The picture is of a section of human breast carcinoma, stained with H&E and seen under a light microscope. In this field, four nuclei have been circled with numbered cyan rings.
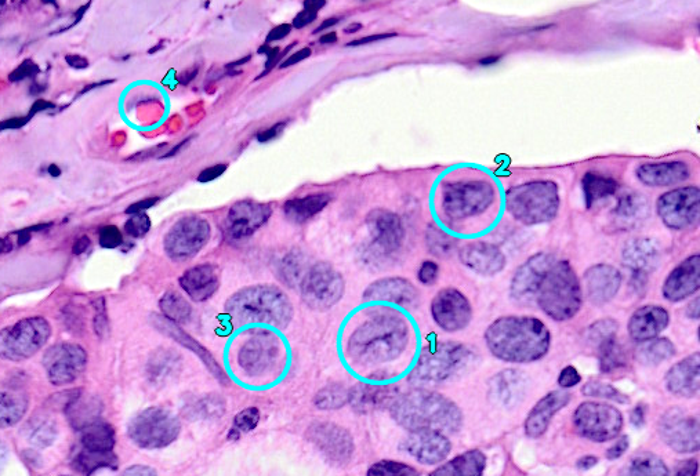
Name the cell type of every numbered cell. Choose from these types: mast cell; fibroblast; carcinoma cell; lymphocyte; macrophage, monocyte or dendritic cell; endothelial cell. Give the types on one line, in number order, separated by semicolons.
carcinoma cell; carcinoma cell; carcinoma cell; endothelial cell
